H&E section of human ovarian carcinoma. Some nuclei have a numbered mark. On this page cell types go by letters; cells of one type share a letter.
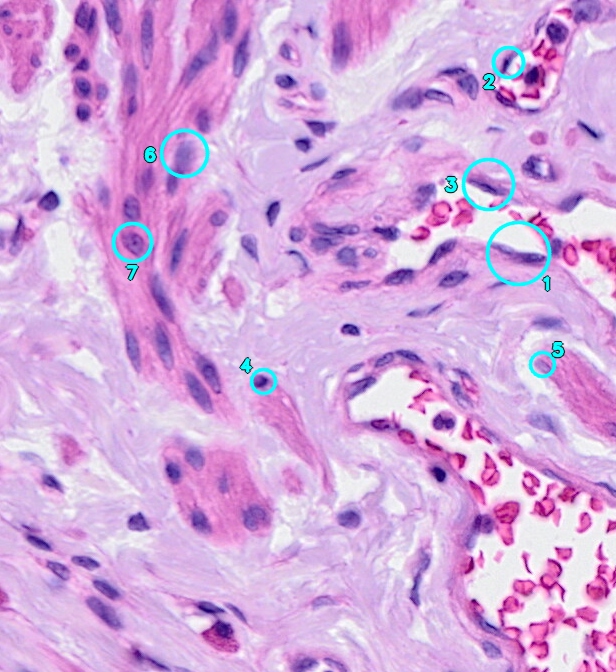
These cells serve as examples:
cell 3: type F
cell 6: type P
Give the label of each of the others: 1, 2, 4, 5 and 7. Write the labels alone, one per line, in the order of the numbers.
type F
type F
type P
type P
type P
